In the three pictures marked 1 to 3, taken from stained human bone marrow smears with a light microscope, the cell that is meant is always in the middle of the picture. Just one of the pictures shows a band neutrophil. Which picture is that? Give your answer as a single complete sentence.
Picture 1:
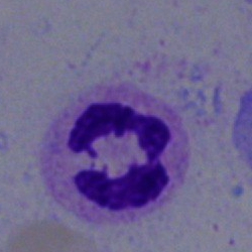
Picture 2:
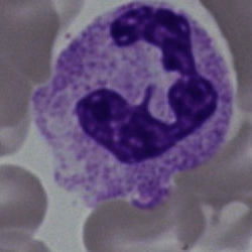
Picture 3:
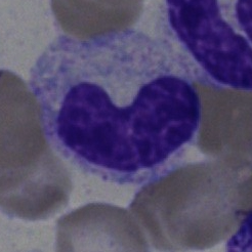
The picture with the band neutrophil is 3.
